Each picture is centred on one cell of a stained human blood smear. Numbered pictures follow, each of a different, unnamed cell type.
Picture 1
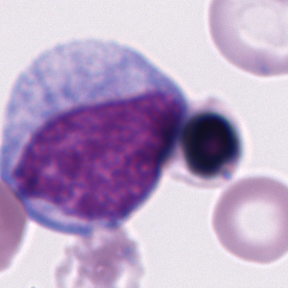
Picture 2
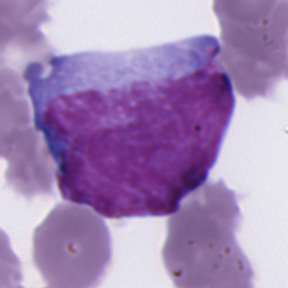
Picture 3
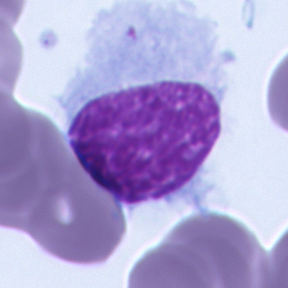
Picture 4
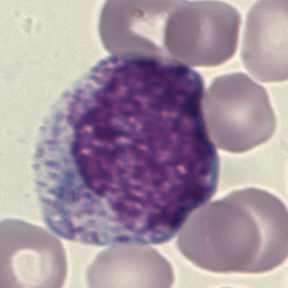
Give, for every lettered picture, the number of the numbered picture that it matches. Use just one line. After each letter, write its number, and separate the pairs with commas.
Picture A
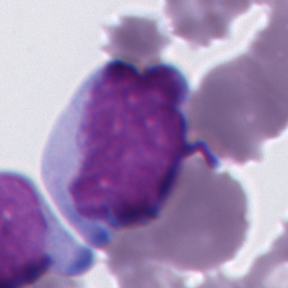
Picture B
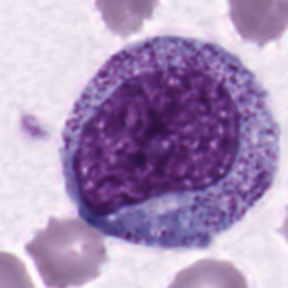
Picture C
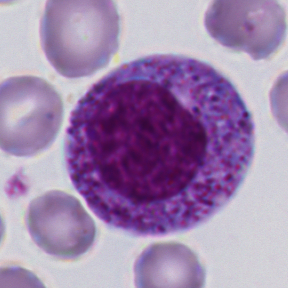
A 2, B 1, C 1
